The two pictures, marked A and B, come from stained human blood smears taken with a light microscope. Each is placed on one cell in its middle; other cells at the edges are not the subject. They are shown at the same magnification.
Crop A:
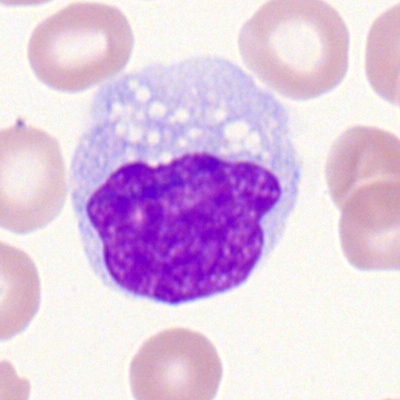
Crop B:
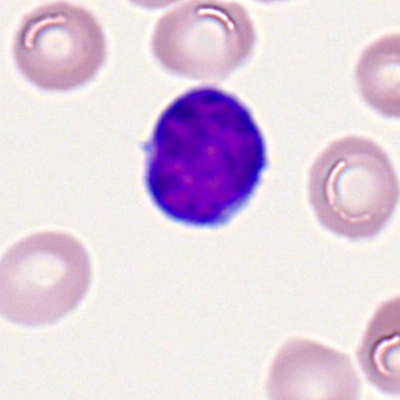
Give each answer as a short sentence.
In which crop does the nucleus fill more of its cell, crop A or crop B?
Of the two, the nucleus in crop B makes up the greater part of its cell.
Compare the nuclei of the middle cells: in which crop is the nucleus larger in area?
It is the nucleus in crop A, about 2 times as large in area as the one in crop B.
